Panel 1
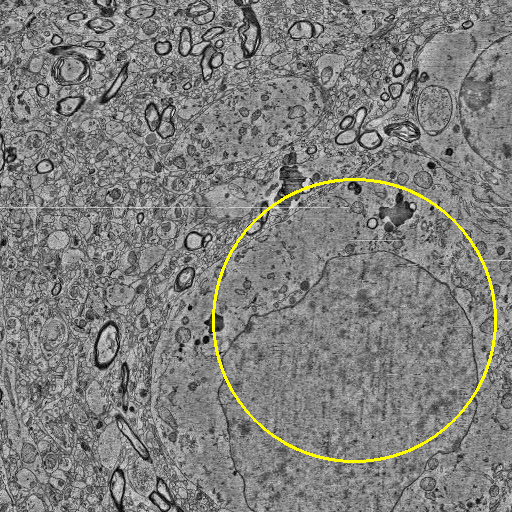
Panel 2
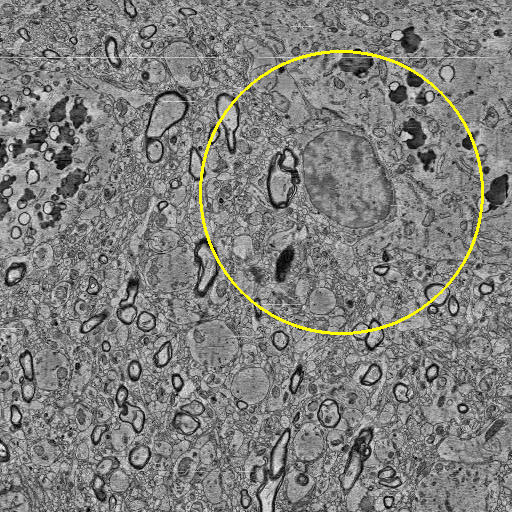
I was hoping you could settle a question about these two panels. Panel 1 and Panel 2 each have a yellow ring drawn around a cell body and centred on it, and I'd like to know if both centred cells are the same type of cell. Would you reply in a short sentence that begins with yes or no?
No, they are two types of cell.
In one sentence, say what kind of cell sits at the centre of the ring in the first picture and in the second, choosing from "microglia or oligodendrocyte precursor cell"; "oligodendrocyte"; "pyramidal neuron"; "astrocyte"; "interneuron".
The first picture's ringed cell is a pyramidal neuron, while the second picture's is an oligodendrocyte.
